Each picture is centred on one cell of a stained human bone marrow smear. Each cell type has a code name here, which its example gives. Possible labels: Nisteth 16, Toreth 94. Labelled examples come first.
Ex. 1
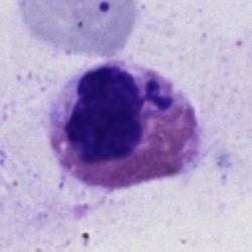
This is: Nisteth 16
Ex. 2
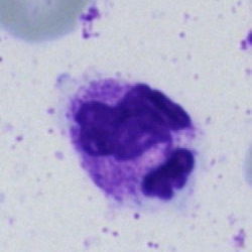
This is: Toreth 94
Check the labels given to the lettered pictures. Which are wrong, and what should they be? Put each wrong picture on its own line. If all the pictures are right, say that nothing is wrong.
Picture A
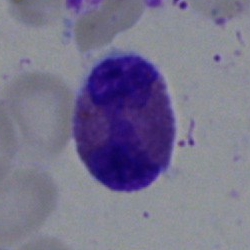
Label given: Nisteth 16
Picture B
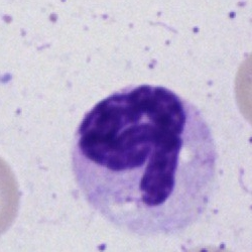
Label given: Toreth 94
All labels are correct.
